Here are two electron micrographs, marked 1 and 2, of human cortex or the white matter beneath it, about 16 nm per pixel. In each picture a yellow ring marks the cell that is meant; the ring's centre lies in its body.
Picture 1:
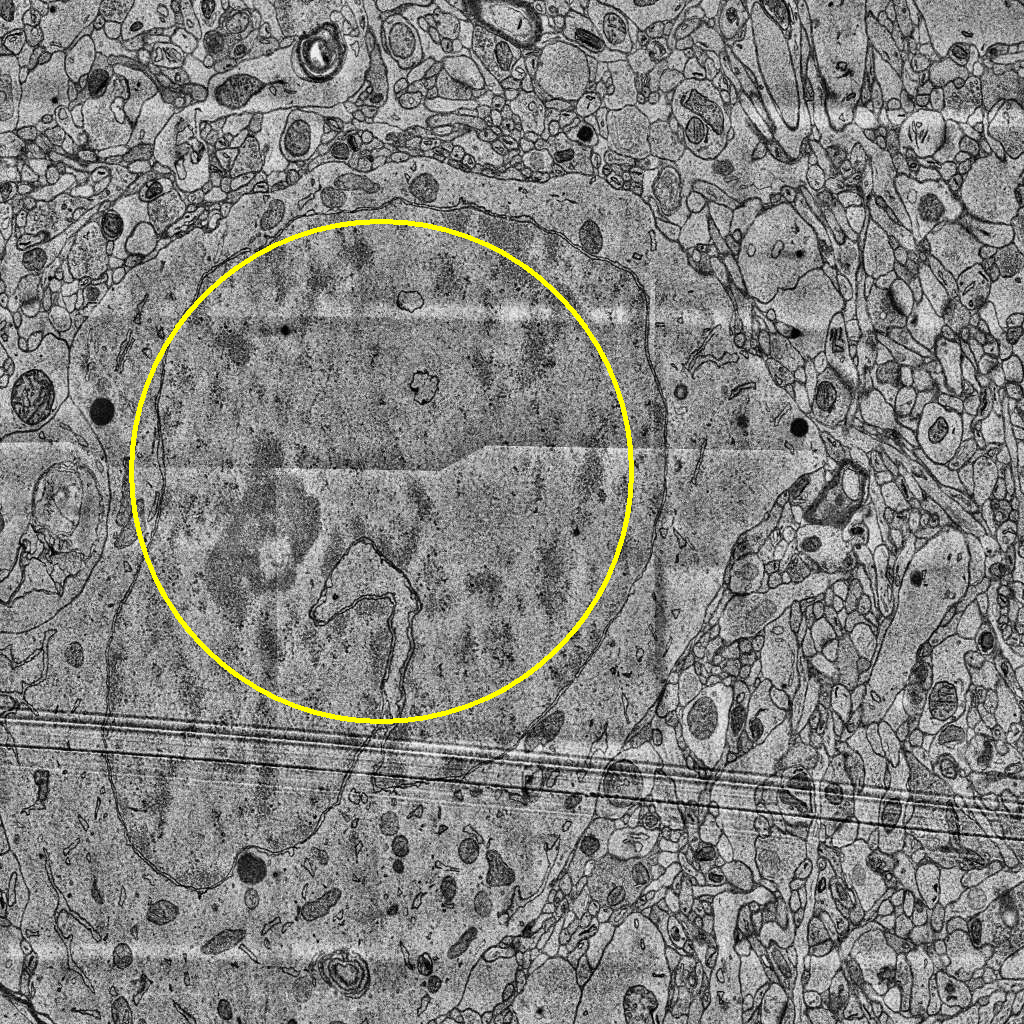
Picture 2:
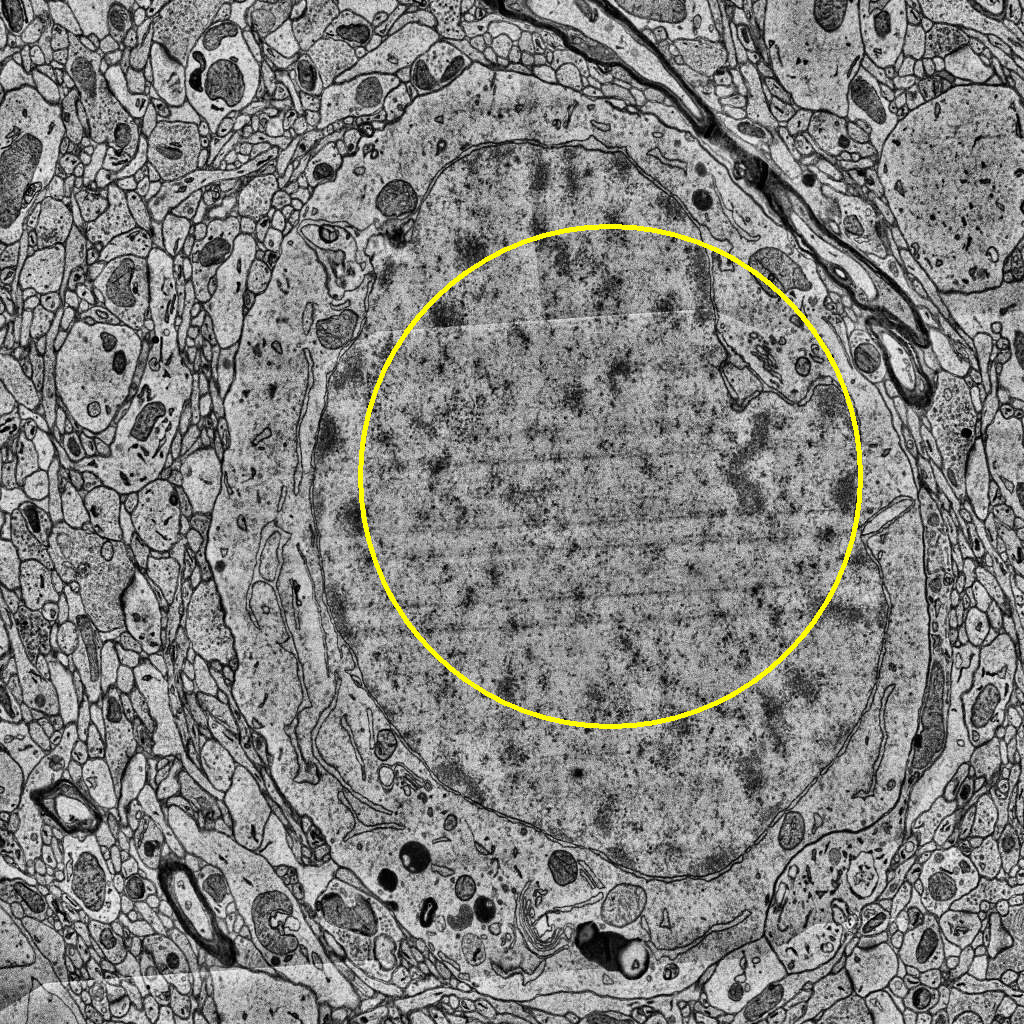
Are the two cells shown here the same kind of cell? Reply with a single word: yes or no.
yes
